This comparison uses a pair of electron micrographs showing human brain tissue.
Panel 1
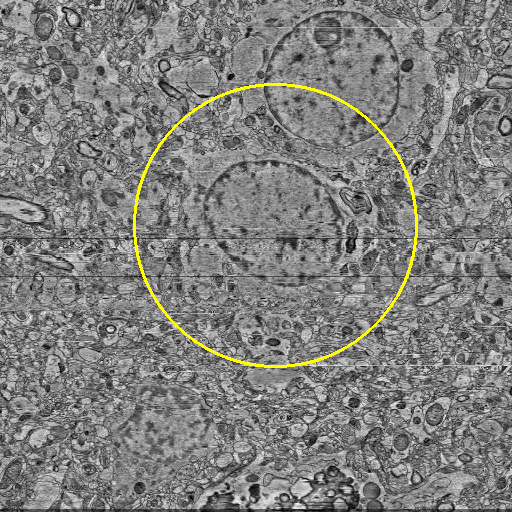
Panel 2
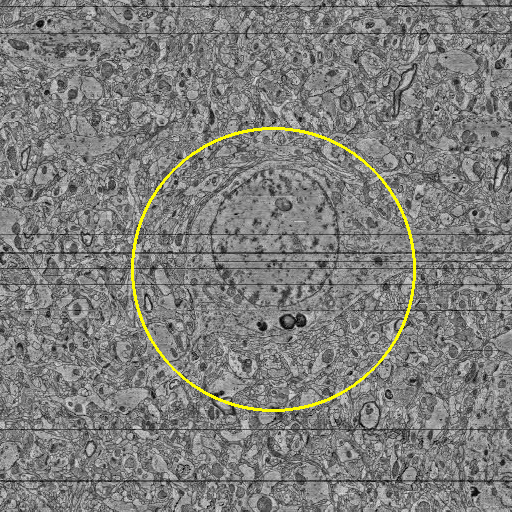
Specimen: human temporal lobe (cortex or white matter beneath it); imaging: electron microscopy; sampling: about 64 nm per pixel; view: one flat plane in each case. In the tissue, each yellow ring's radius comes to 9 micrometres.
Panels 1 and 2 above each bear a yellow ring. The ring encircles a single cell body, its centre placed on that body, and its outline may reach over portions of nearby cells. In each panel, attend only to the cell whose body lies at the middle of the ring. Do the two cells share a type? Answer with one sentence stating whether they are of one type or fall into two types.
In Panel 1 and Panel 2, the cells at the centres of the rings fall into two types.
